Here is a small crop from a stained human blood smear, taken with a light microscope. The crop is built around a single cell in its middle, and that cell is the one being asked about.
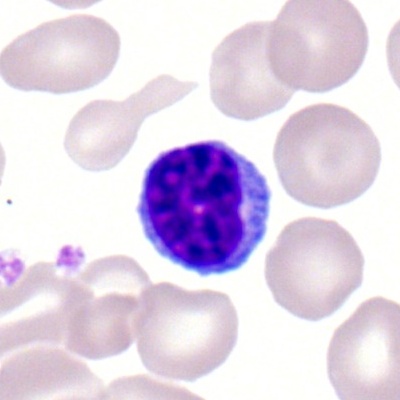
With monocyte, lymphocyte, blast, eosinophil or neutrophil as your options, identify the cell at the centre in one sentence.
The identification for the central cell is a lymphocyte.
